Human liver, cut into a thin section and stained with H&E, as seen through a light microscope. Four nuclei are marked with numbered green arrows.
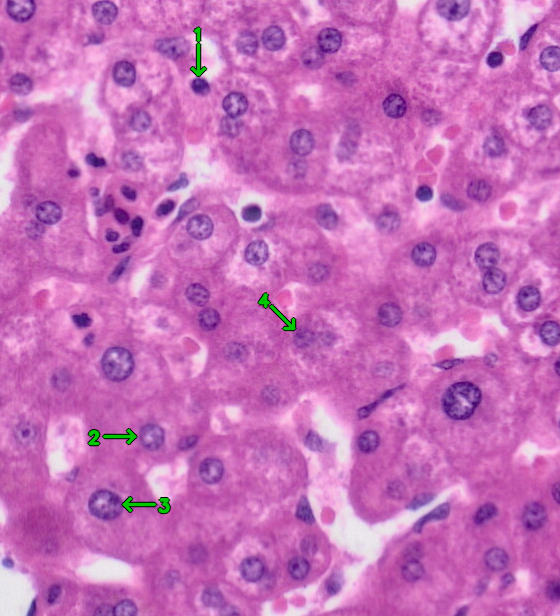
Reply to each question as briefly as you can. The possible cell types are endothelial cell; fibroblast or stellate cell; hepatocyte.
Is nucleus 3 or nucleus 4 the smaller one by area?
4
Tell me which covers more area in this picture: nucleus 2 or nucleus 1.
2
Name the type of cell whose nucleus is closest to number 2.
fibroblast or stellate cell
